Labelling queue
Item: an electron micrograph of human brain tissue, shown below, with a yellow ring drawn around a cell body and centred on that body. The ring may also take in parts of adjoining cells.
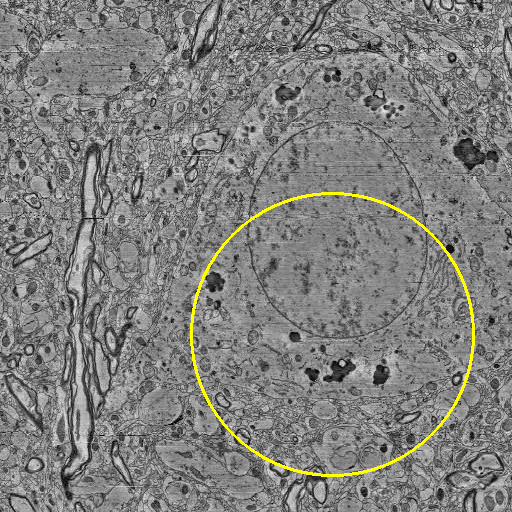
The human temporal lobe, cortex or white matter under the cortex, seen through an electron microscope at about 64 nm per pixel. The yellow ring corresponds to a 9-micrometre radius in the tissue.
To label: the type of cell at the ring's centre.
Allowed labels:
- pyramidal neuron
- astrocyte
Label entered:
pyramidal neuron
